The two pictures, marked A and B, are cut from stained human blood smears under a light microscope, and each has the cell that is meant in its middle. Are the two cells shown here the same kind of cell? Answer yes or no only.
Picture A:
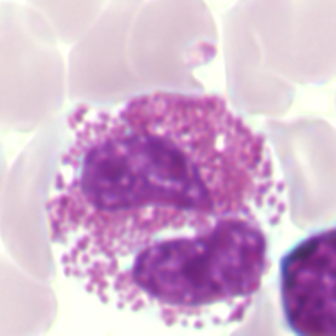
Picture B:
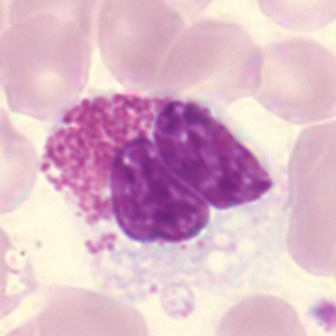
yes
